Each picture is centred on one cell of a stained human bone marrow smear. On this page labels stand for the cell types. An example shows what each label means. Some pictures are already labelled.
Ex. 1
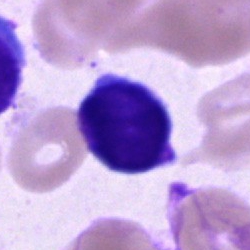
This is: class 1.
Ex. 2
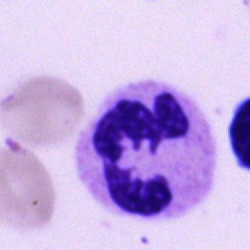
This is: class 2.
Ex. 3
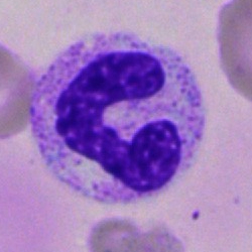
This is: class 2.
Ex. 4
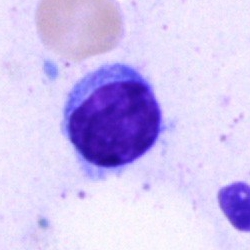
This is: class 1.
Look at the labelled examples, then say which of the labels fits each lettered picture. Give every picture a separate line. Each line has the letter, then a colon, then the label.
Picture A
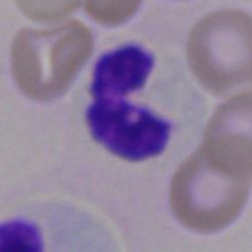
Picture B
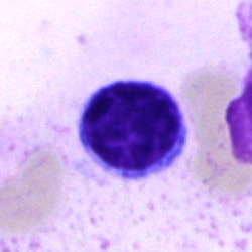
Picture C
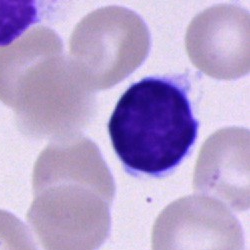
A: class 2.
B: class 1.
C: class 1.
